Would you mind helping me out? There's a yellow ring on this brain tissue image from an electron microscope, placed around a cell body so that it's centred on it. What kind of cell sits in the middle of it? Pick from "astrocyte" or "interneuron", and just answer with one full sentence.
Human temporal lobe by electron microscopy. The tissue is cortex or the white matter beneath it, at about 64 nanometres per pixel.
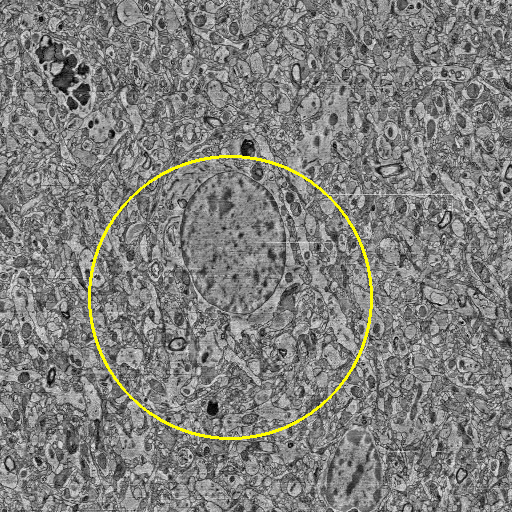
What sits in the middle of that yellow ring is an astrocyte, from your choices.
